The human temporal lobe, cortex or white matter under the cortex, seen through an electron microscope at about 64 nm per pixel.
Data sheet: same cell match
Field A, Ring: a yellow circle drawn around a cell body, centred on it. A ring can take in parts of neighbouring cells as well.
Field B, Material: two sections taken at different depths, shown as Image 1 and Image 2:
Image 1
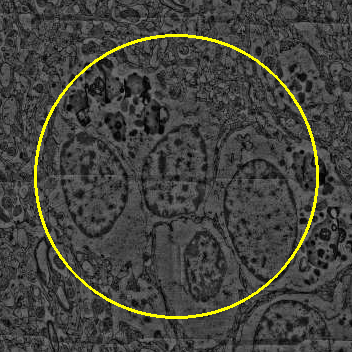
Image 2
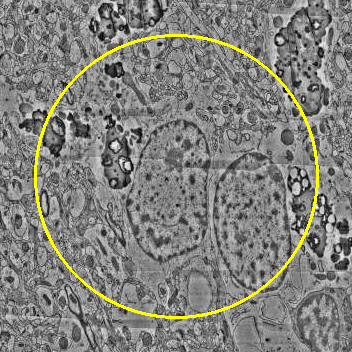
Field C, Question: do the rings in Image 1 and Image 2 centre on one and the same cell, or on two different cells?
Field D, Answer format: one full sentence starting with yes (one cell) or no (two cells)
Yes, a single cell is the subject of both yellow rings.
